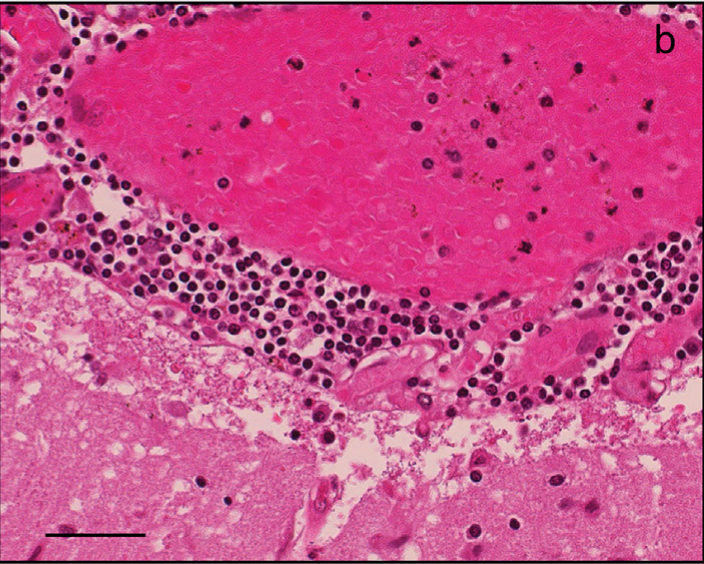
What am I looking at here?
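This high-power view shows the membranes over the brain surface, thickly infiltrated by small round inflammatory cells. A large blood vessel packed with bright red blood cells fills the upper part of the field, with a few scattered dark nucleated cells and fine brown-black granules within it. Along its lower wall lies a band several cells thick of small round cells with dense, dark purple, round nuclei and very little cytoplasm, typical of lymphocytes. Below this band is a loose, pale, finely granular space, and at the bottom lies the pale pink fibrillar brain tissue with only sparse nuclei.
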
